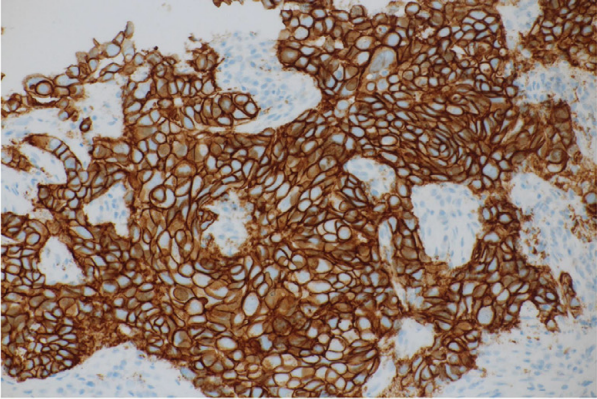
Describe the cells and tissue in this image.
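Sheets of atypical cells show strong brown staining of their membranes, forming a complete dark brown outline around each cell in a honeycomb pattern. The cell interiors and nuclei remain pale, and the intervening blue-stained stroma with spindle nuclei is unstained.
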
